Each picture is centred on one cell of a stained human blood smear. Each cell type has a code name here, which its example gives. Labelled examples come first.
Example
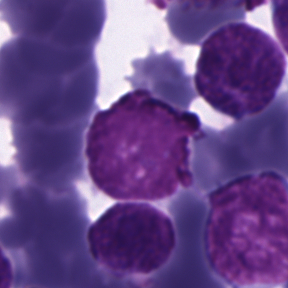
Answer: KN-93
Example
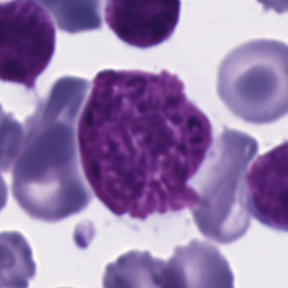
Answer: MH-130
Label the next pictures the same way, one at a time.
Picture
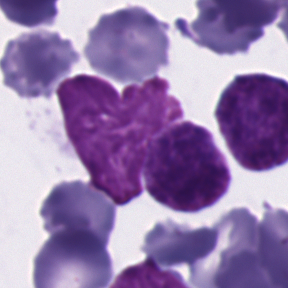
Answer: MH-130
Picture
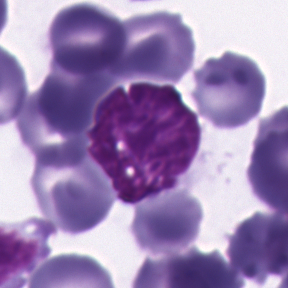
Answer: KN-93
